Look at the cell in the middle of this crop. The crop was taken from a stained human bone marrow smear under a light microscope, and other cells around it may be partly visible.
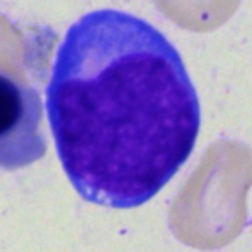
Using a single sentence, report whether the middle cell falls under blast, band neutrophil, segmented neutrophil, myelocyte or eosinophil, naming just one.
The cell of interest, in the center, is a blast.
